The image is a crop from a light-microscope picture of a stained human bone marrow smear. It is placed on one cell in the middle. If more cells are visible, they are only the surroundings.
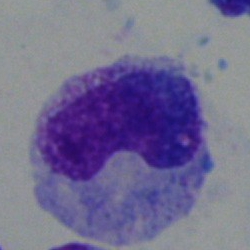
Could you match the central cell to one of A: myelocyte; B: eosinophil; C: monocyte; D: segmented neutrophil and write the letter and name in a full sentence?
That cell in the center is a monocyte, hence option C.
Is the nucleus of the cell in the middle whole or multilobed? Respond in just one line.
There is one compact nucleus, and its shape is round, oval or kidney-like.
